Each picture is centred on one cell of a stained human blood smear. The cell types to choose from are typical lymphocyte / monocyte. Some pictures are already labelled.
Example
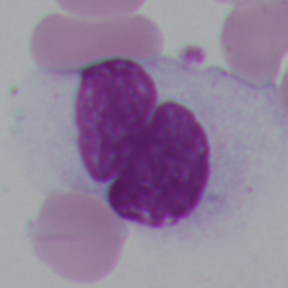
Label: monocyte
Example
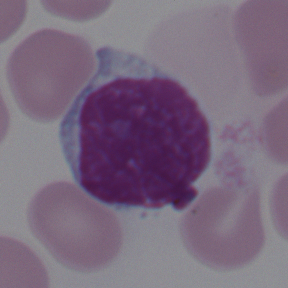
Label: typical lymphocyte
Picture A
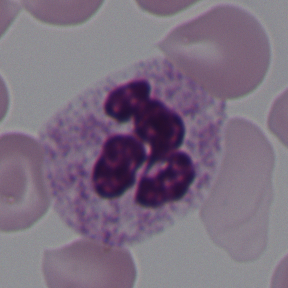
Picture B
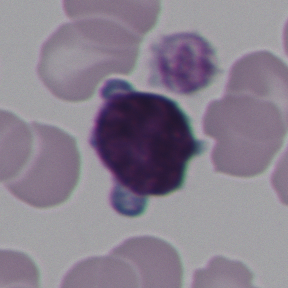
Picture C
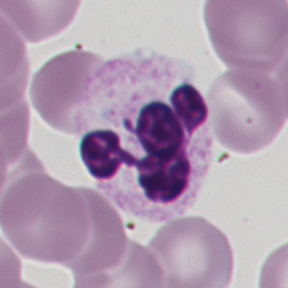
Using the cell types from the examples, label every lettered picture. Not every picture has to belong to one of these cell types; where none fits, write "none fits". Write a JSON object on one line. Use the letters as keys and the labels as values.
{"A": "none fits", "B": "typical lymphocyte", "C": "none fits"}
